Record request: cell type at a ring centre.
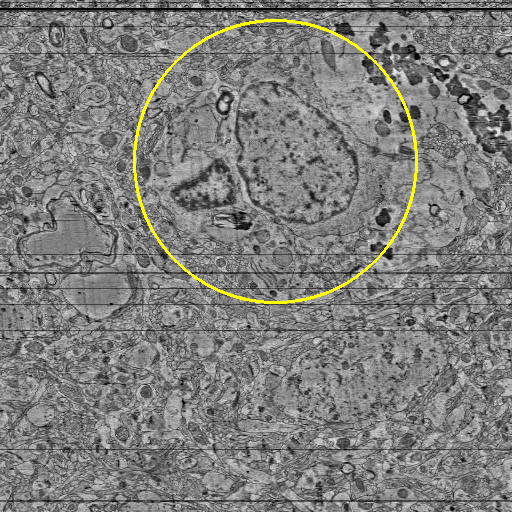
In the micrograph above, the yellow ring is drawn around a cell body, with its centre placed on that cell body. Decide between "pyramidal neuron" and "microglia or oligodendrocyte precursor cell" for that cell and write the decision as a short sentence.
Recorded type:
The cell centred in the yellow ring is a microglial cell or oligodendrocyte precursor cell.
